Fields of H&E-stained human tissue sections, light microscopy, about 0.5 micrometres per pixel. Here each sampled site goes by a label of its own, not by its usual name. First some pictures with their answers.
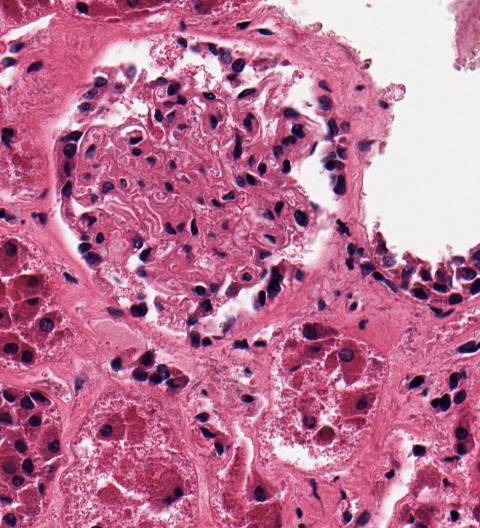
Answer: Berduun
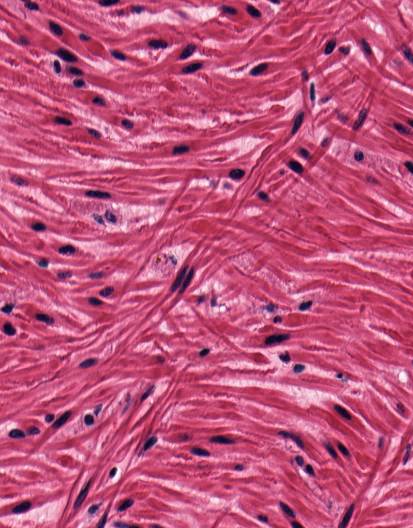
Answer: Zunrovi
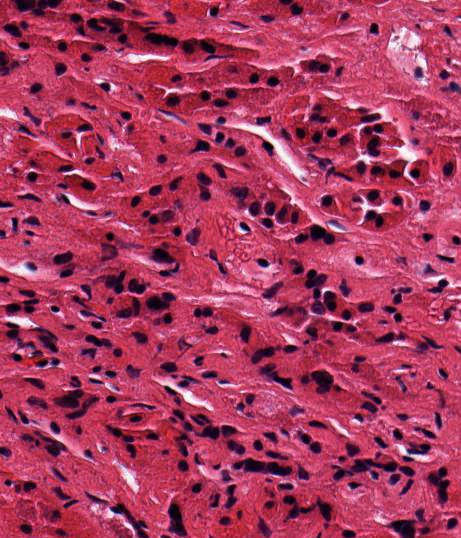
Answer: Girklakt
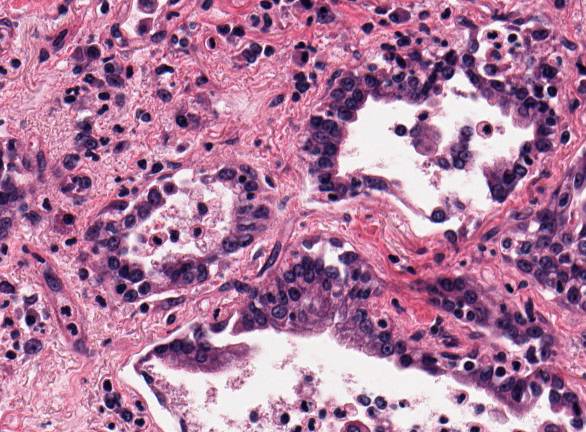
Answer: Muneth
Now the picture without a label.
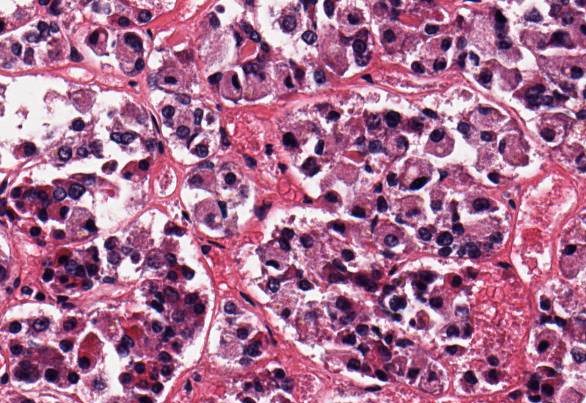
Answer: Girklakt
